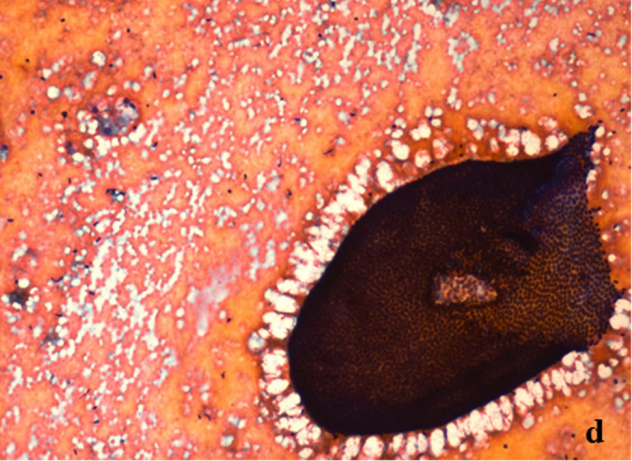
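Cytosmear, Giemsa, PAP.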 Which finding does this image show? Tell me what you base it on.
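One flat, smooth-edged cluster of closely packed cells. The cluster has a sharp outline against an orange, blood-rich background.
Conclusion: monolayered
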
